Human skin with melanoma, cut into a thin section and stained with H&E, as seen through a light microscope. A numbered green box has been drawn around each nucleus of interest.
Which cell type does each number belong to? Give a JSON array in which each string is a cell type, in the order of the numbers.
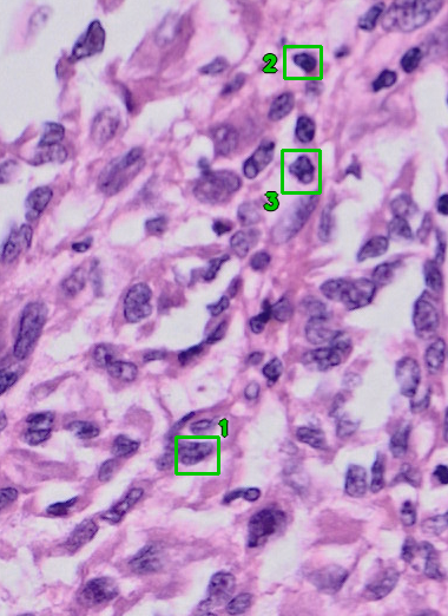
["melanoma cell", "lymphocyte", "lymphocyte"]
